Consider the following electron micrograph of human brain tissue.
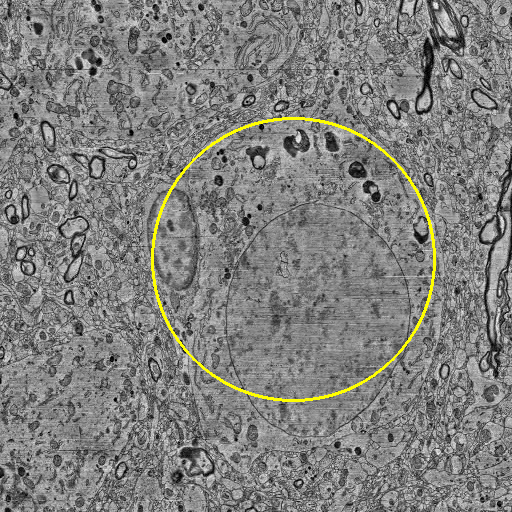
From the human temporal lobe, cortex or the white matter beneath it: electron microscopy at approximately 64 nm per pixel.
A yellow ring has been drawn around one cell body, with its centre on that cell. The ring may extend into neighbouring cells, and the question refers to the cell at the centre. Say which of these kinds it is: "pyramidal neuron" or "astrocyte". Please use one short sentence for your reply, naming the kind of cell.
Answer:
The centre of the ring falls on a pyramidal neuron.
